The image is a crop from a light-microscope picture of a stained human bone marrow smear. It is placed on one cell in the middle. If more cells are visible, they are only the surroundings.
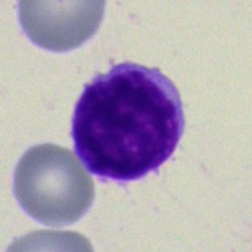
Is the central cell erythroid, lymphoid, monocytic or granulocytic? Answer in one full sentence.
The cell held in the center of the crop belongs to the lymphoid lineage.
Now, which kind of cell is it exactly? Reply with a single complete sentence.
The cell at the central position in this crop is a lymphocyte.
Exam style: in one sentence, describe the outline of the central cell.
Rather than running smoothly, the cell border is ragged or carries projections.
